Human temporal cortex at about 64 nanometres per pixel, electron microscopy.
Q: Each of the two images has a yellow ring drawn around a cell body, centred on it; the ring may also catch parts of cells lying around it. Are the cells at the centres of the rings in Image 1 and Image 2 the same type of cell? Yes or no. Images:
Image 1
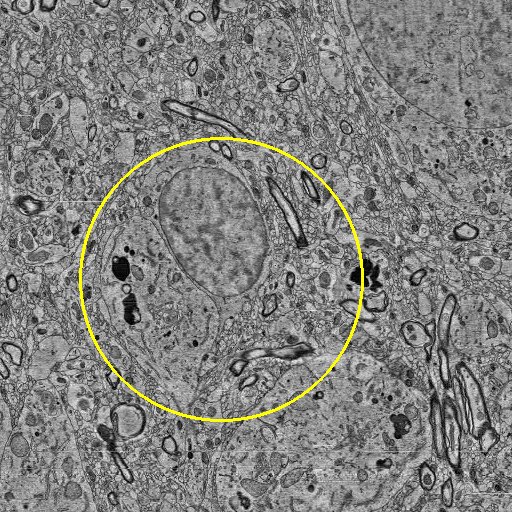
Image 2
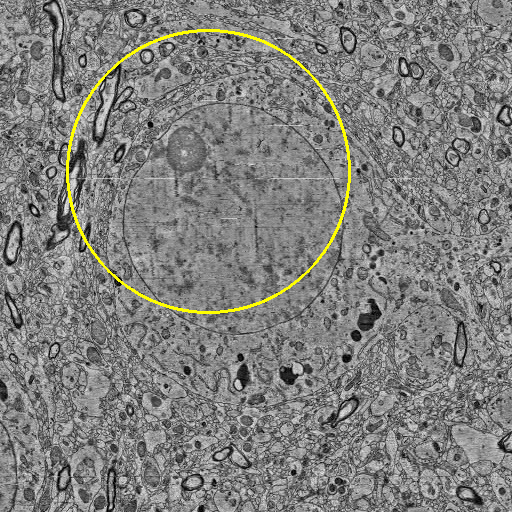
no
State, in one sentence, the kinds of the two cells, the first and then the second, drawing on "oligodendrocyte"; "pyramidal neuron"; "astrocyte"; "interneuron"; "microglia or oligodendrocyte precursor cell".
The ring in the second picture is centred on a pyramidal neuron, the ring in the first on an oligodendrocyte.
